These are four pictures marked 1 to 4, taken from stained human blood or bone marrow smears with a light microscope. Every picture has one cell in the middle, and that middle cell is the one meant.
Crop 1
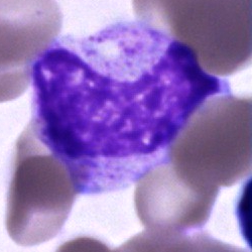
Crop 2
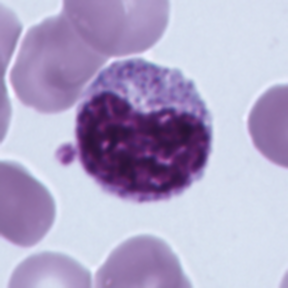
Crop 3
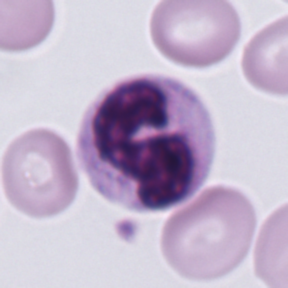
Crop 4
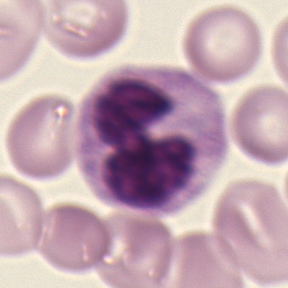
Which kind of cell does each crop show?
1: metamyelocyte
2: metamyelocyte
3: segmented neutrophil
4: segmented neutrophil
